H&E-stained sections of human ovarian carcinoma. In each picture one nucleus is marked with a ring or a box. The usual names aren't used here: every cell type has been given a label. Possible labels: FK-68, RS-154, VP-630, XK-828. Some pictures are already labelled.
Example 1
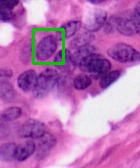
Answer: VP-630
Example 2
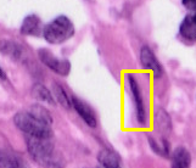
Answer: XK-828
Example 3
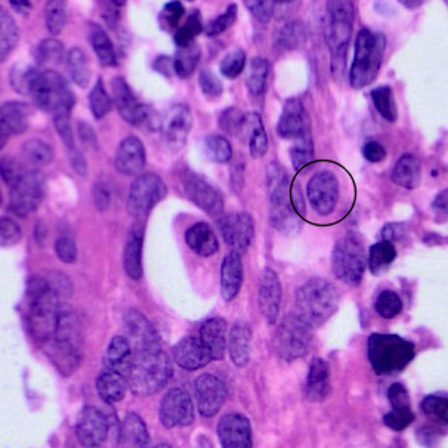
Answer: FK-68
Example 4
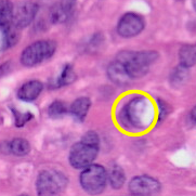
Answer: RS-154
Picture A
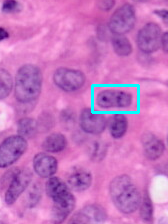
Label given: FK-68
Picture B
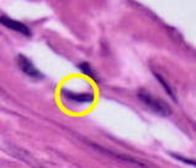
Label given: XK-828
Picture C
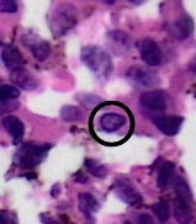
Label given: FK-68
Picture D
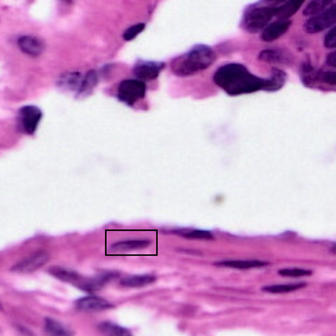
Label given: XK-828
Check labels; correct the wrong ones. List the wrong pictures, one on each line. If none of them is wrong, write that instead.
No label is wrong.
